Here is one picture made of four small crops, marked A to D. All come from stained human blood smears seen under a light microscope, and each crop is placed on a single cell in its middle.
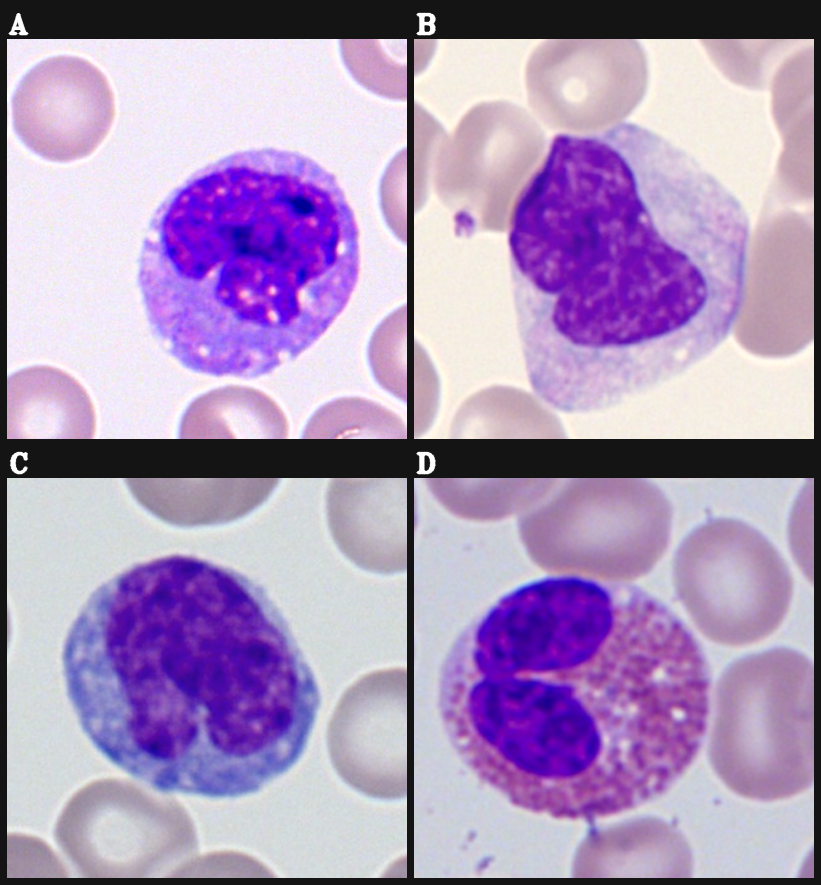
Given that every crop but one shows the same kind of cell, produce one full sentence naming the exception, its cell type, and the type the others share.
In crop D the central cell is an eosinophil, whereas the other crops all contain monocytes.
